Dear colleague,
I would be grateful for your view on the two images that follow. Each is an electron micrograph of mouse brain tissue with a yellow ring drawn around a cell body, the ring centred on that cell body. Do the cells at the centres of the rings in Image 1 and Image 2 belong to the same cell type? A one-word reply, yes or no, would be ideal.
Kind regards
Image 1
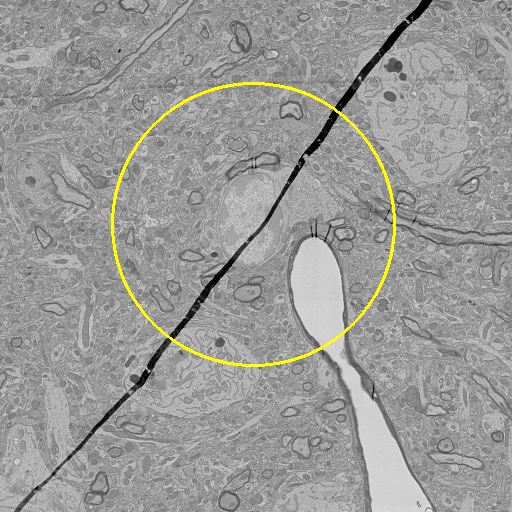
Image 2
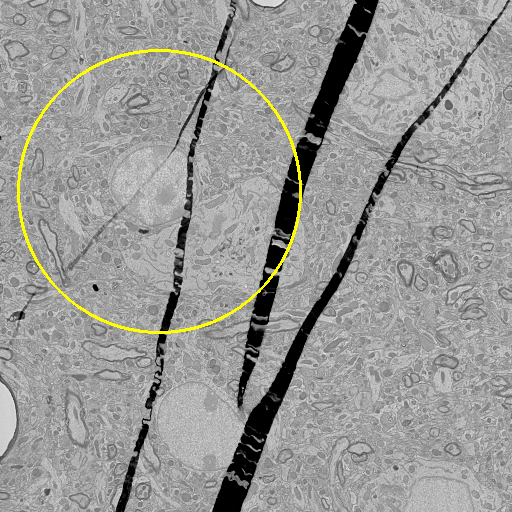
yes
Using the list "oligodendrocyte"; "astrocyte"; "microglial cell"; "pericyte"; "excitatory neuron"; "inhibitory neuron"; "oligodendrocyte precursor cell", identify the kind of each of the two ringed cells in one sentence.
In both pictures the ring is centred on an oligodendrocyte.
